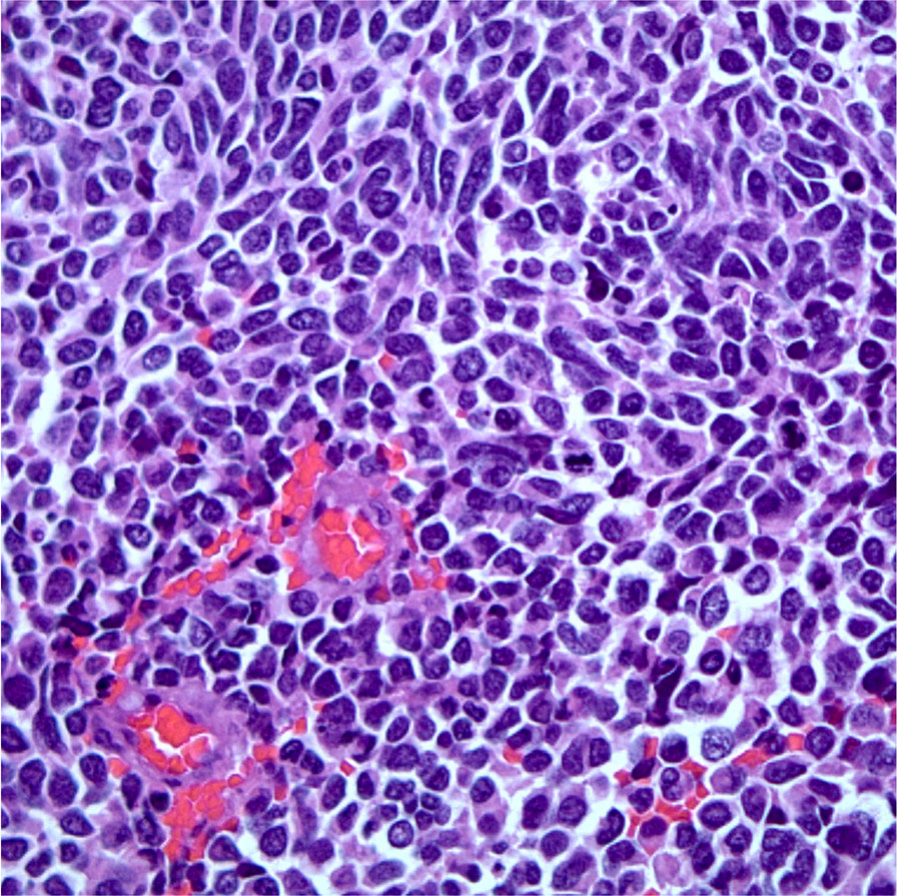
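The nuclei are round, oval or elongated and vary in size, and many are pressed against their neighbours so that their outlines fit into one another. The chromatin is finely speckled, giving a granular look, and nucleoli are inconspicuous. The cytoplasm forms only a thin, pale pinkish rim, so the nuclei dominate the field. Small thin-walled vessels filled with bright red blood cells lie among the cells, with some red cells scattered between them.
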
